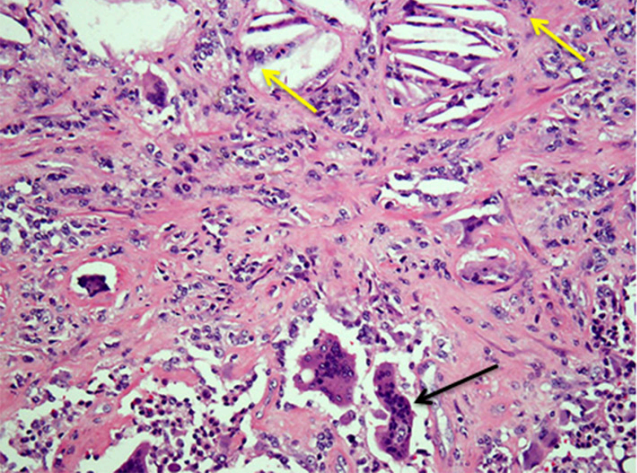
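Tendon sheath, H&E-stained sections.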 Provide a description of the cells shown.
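This is tumor tissue with bands of pink collagenous stroma holding many mononuclear cells, and in the lower part large osteoclasts with many nuclei and dense purple cytoplasm. These big cells sit in irregular spaces among numerous small round cells. In the upper part, needle-shaped empty clefts lie in parallel bundles, left behind by dissolved cholesterol crystals. Multinucleated giant cells wrap closely around the edges of these clefts. The mononuclear cells between have round to oval purple nuclei.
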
